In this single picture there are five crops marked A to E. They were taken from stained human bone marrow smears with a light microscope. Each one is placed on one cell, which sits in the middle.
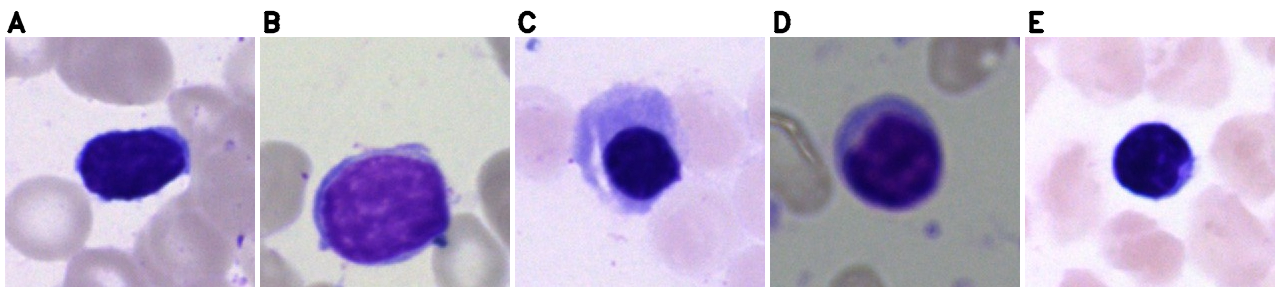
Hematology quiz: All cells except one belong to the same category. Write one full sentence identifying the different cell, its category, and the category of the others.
Whereas the other crops show lymphocytes, crop C is an erythroblast.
